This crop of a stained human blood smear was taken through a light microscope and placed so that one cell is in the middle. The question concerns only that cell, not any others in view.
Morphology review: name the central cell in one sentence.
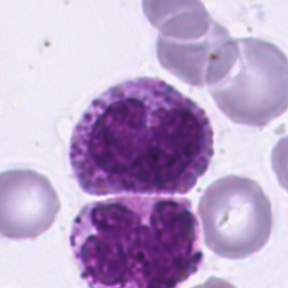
Here the centrally located cell is a basophil.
